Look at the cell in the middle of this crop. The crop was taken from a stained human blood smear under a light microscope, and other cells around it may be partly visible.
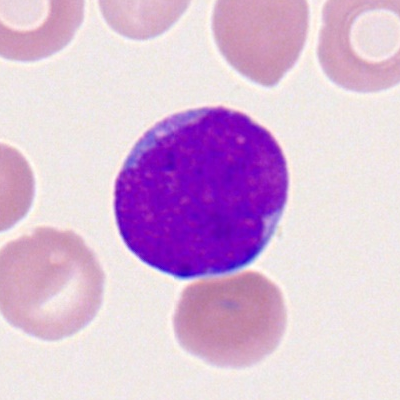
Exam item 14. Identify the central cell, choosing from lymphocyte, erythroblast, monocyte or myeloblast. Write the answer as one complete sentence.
The cell found in the middle of this crop is a myeloblast.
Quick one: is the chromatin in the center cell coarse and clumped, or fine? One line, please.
The nuclear chromatin is fine, showing no coarse aggregates.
